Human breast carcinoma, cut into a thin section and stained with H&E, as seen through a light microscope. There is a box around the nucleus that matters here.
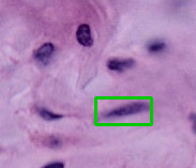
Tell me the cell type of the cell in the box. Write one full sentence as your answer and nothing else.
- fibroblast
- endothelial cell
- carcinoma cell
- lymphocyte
Within this tissue, the cell in the box is a fibroblast.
